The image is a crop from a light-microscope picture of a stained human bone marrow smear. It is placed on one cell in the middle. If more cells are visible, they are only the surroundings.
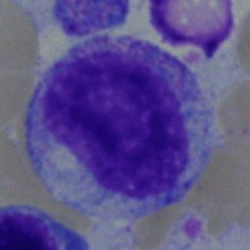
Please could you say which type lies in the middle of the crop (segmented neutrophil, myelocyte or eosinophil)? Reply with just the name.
myelocyte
